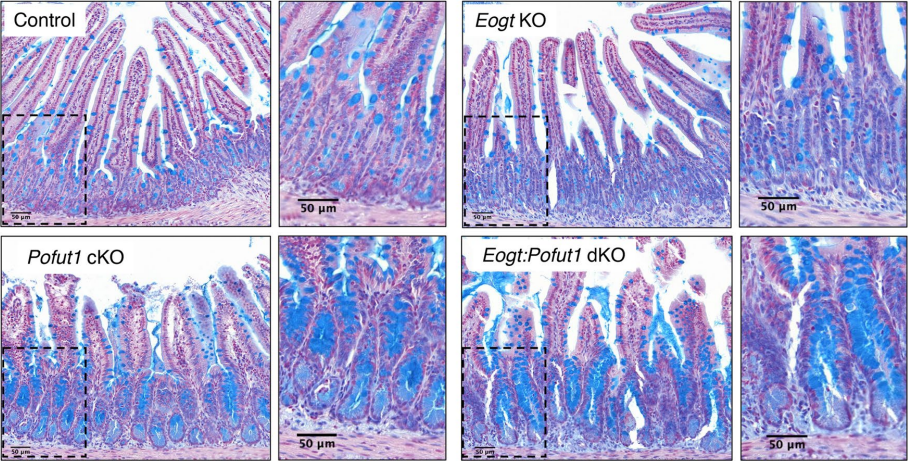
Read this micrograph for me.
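These are sections of small intestinal mucosa with long finger-like villi above and tubular crypts at the base, lined by columnar epithelium with pink-purple cytoplasm. Goblet cells stand out as rounded cells filled with bright blue mucin, scattered singly along the villi and in the crypts. In the lower sections the villi are shorter and the crypt region is crowded with many blue-filled cells, so that the base of the mucosa appears densely blue.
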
